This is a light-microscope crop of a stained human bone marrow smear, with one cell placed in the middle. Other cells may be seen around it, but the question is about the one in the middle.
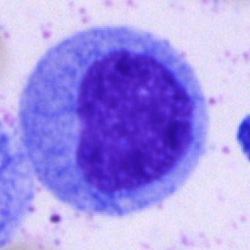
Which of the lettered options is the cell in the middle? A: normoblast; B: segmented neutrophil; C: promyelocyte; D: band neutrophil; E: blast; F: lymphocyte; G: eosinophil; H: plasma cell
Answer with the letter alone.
C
